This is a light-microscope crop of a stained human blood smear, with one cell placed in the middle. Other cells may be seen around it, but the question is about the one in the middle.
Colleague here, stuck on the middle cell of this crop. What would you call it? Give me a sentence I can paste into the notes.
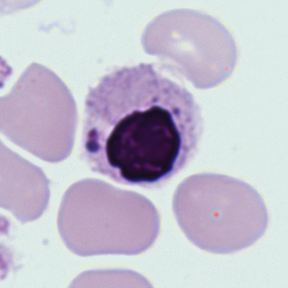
By classification, the middle cell of this crop is a normoblast.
